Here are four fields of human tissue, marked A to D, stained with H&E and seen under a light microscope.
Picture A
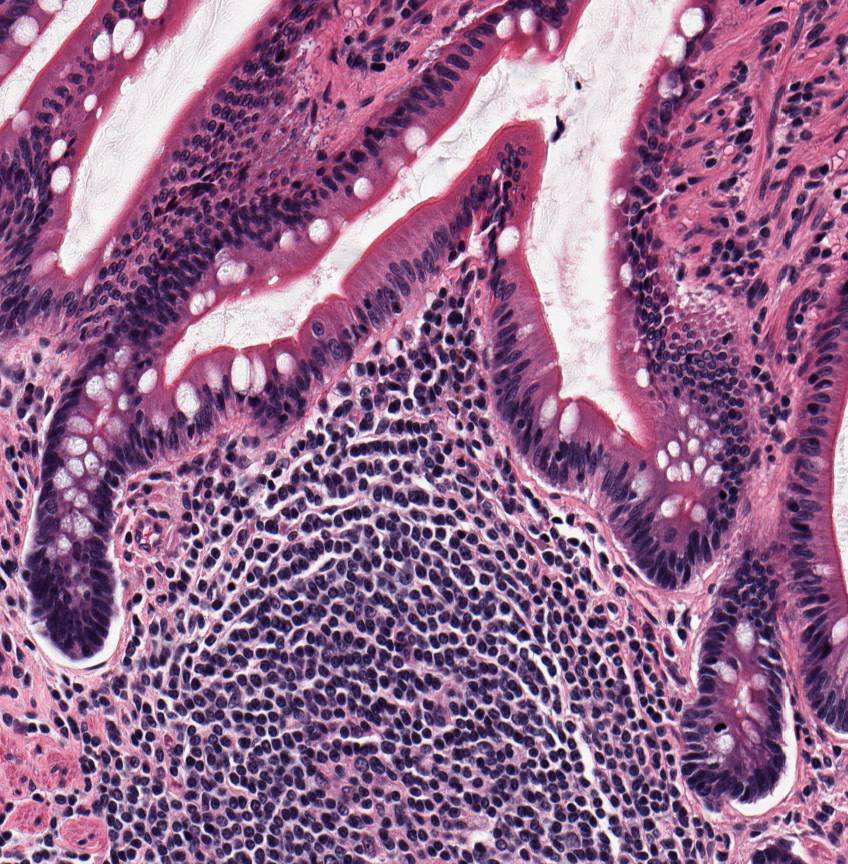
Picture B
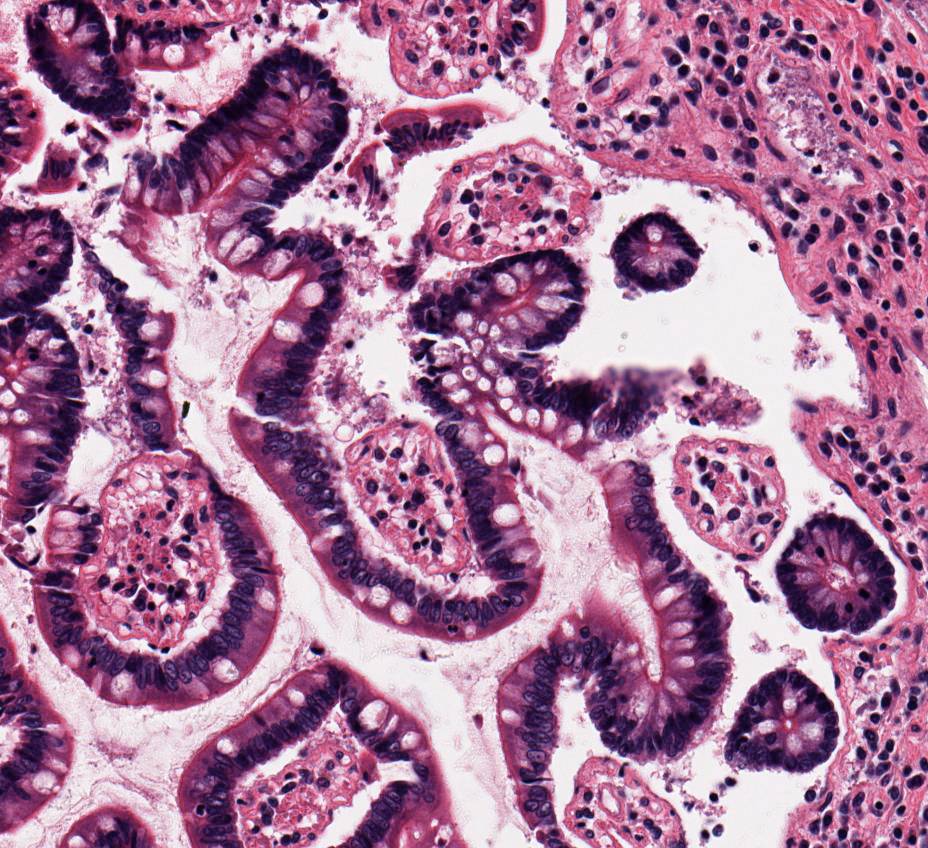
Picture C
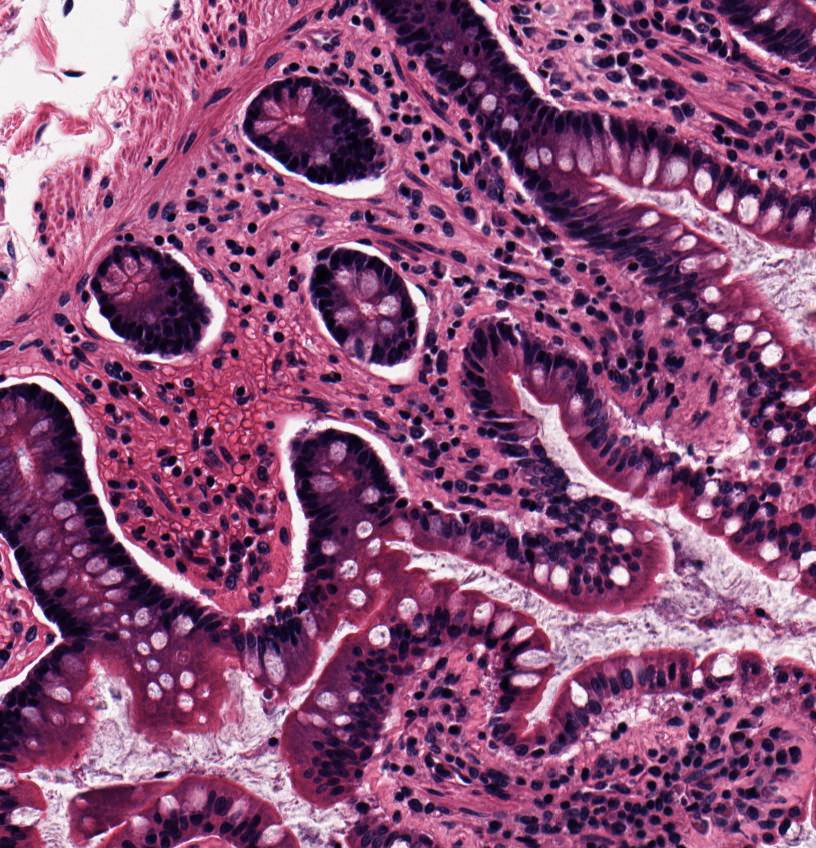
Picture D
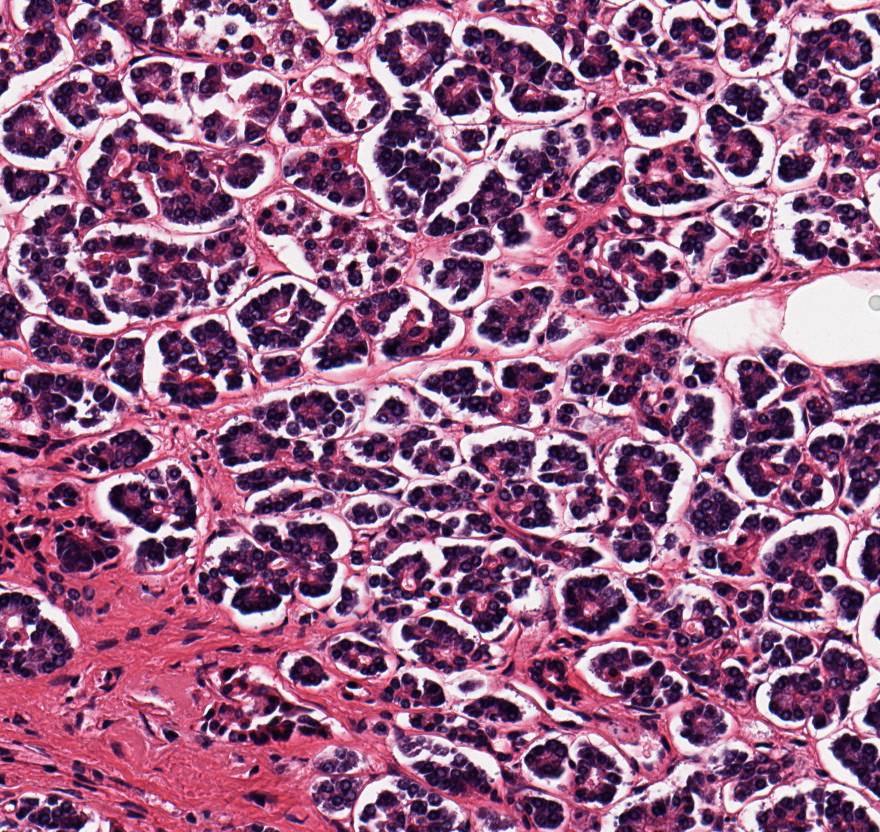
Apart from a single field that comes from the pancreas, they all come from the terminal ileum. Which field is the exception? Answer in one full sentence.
Picture D comes from the pancreas.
